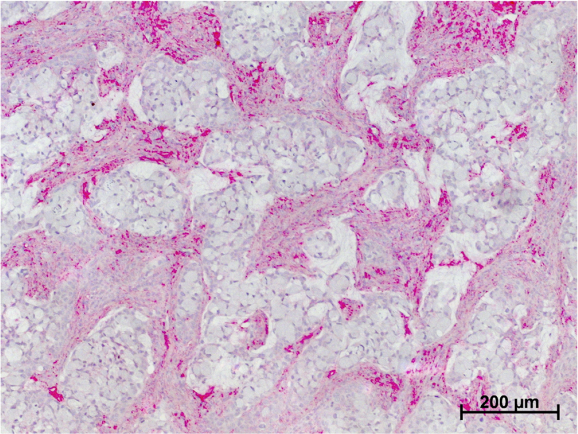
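The pink-red stain sits in the extracellular matrix of these bands, often strongest at their edges where they meet the nests. The tumour cells within the nests are pale with clear cytoplasm and small bluish nuclei, and they are essentially unstained.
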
